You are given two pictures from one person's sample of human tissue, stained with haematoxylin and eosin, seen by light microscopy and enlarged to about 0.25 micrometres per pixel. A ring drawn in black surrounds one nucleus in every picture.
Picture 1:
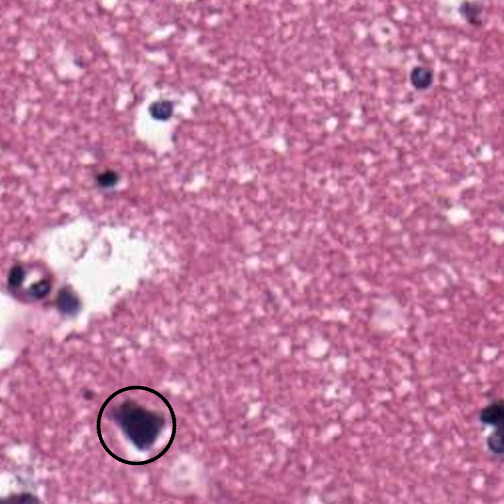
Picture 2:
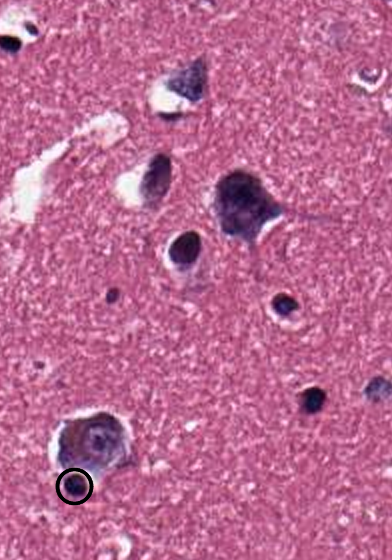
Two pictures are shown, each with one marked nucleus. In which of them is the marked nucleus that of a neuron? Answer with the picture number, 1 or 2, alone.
1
